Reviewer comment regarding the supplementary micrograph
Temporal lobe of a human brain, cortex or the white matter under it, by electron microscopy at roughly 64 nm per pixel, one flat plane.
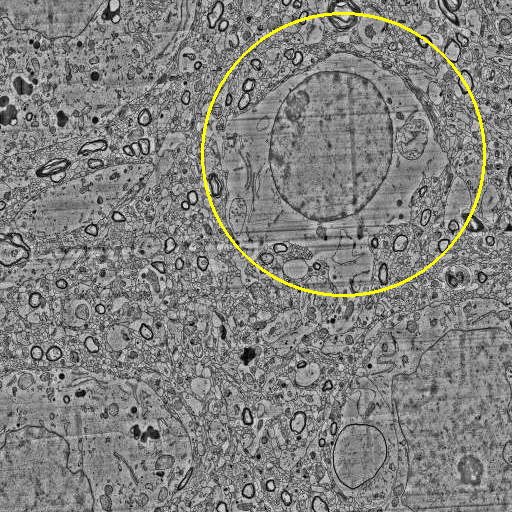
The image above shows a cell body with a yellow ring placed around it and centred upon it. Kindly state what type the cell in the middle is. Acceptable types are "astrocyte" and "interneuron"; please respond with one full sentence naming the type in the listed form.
In the image above, the cell on which the yellow ring is centred is an astrocyte.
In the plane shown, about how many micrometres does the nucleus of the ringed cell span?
The nucleus comes to roughly 10 by 8 micrometres in this plane.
